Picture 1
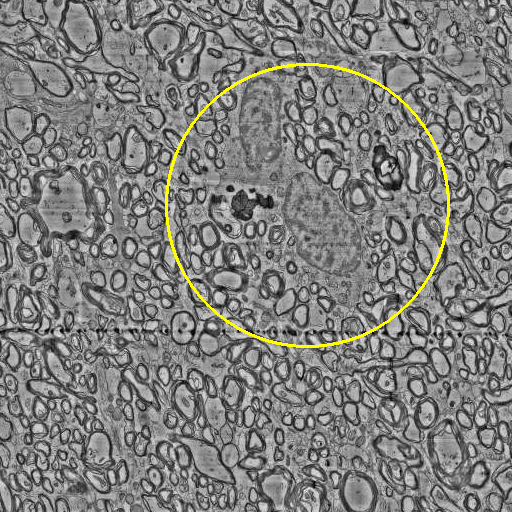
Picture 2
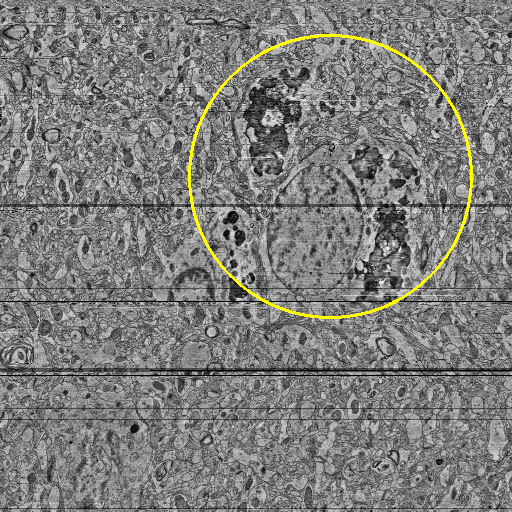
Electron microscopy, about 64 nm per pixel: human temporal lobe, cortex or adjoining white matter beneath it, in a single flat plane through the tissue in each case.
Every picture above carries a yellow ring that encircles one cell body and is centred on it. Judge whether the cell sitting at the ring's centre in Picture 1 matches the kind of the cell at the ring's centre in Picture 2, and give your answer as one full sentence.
No, the cells centred in the rings of Pictures 1 and 2 belong to two kinds.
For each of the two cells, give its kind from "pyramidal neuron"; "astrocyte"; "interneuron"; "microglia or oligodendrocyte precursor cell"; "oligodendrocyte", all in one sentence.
The first picture has an oligodendrocyte in its ring, the second has an astrocyte.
